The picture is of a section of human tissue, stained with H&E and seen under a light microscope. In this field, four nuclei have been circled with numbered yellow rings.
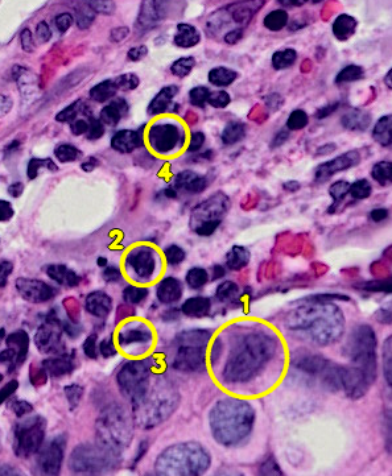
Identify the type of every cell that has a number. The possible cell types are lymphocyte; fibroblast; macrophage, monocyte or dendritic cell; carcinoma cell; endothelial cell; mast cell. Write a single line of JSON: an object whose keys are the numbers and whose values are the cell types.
{"1": "carcinoma cell", "2": "lymphocyte", "3": "lymphocyte", "4": "lymphocyte"}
